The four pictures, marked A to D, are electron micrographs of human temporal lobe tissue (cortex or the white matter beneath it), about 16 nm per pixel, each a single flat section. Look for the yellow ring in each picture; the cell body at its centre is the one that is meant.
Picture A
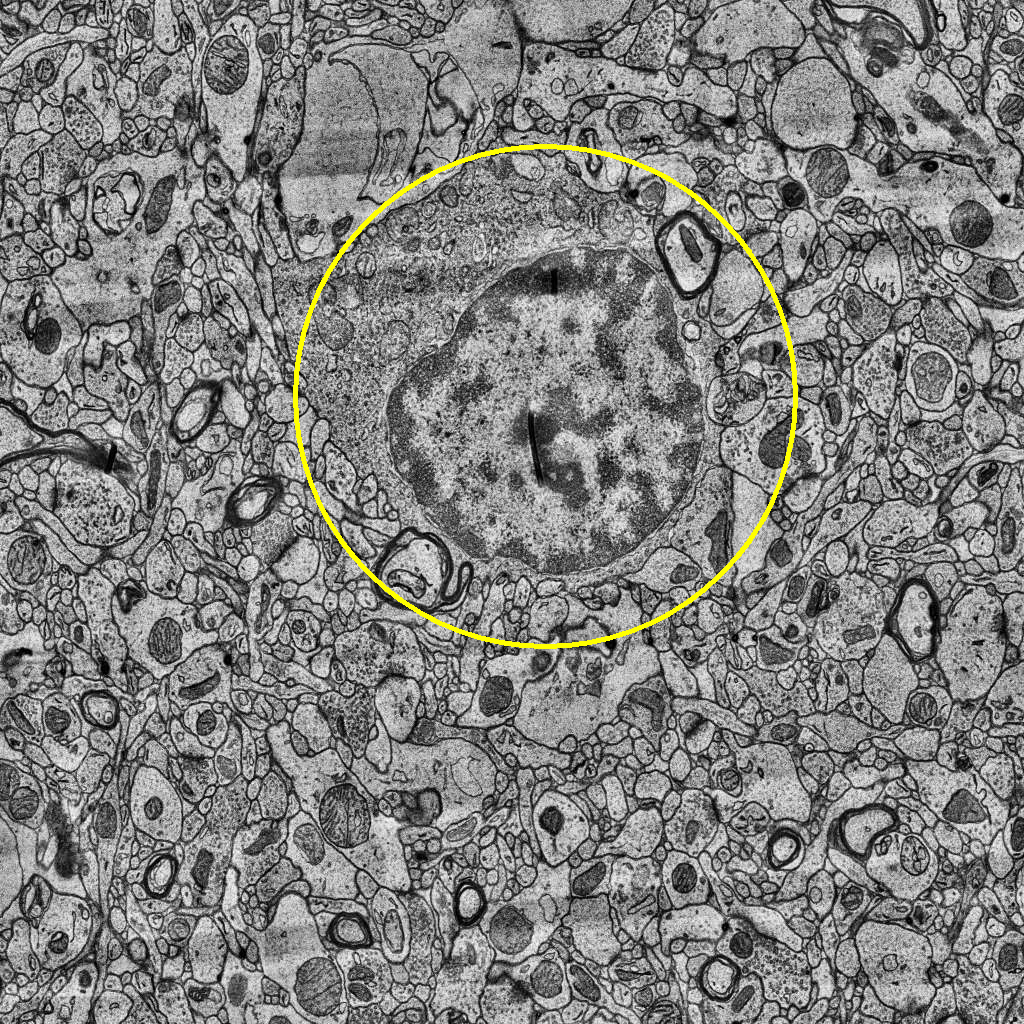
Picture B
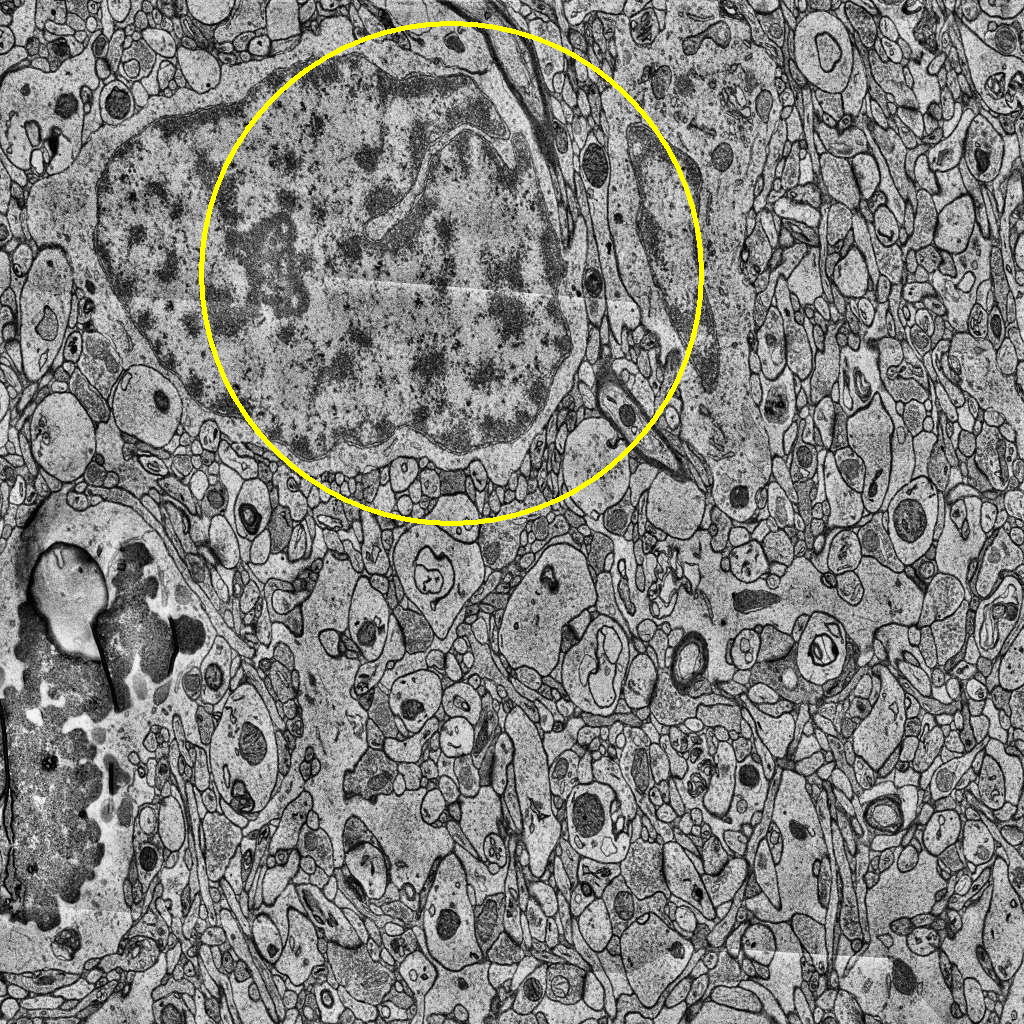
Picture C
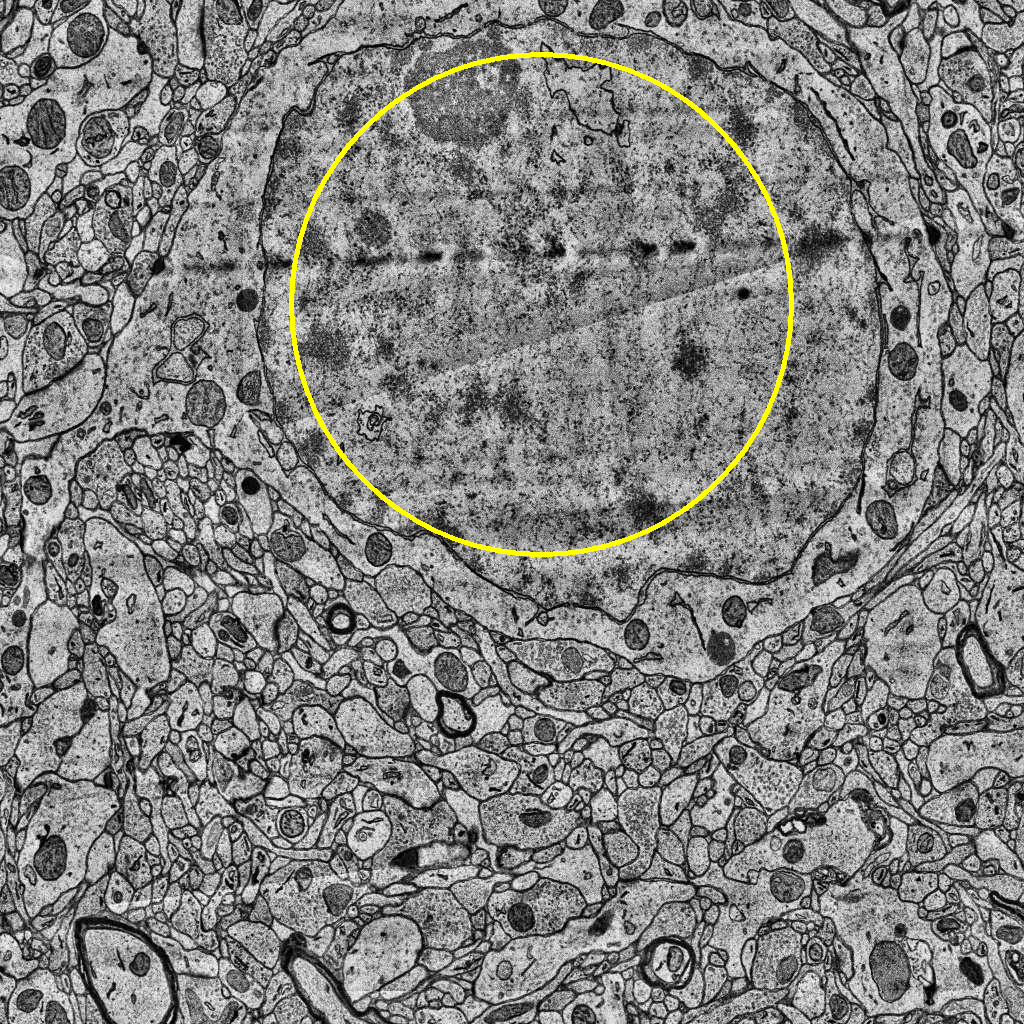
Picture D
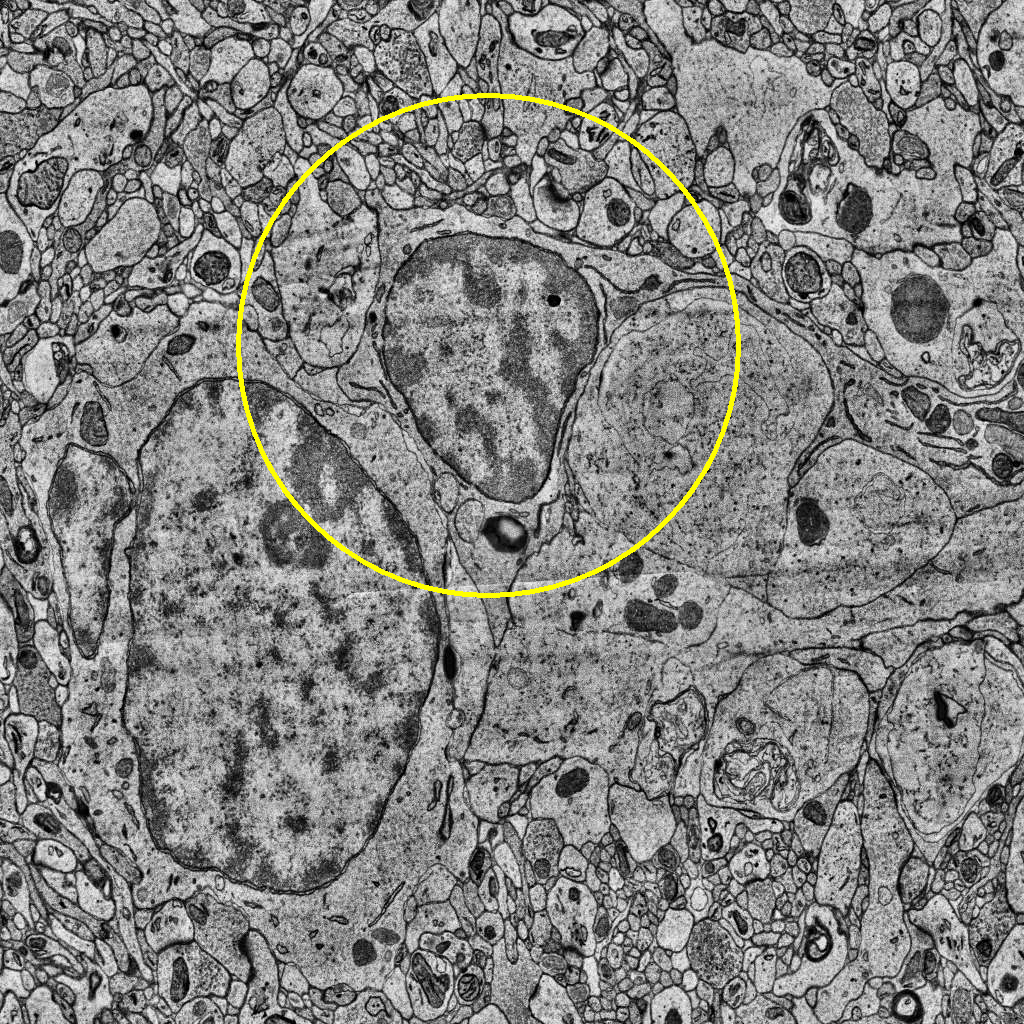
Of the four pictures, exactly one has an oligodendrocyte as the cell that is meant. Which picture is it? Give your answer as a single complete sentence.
The oligodendrocyte is the one in picture A.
